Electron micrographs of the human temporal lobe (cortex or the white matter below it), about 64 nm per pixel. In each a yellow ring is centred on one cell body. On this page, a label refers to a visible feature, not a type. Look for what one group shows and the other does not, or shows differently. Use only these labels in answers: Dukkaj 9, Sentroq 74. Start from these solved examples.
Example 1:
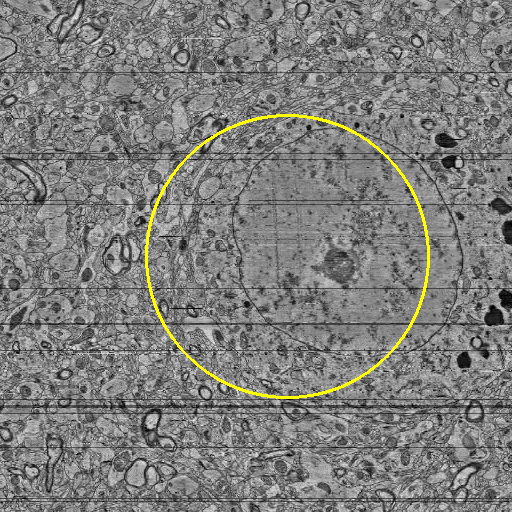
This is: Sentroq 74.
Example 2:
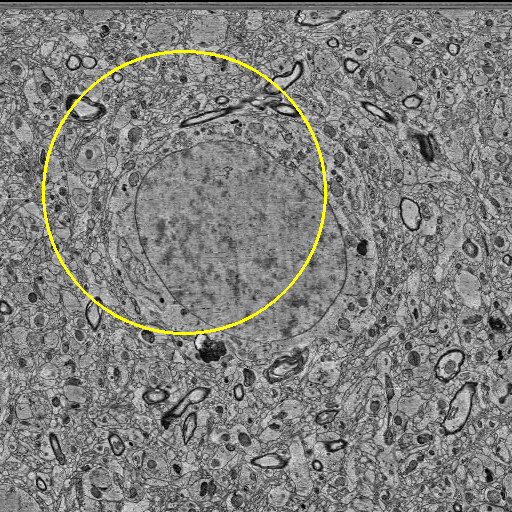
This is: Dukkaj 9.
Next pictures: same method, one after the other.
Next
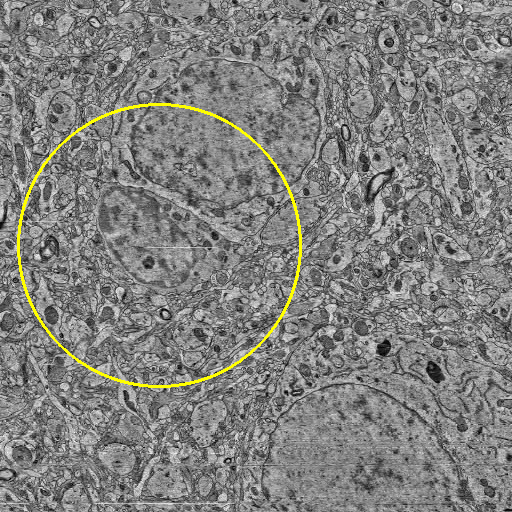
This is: Sentroq 74.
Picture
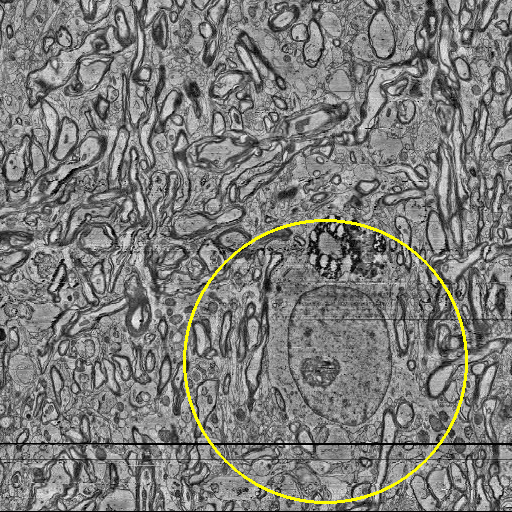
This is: Sentroq 74.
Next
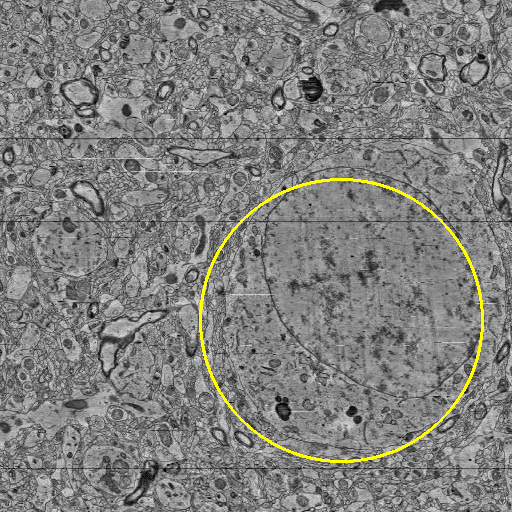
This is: Dukkaj 9.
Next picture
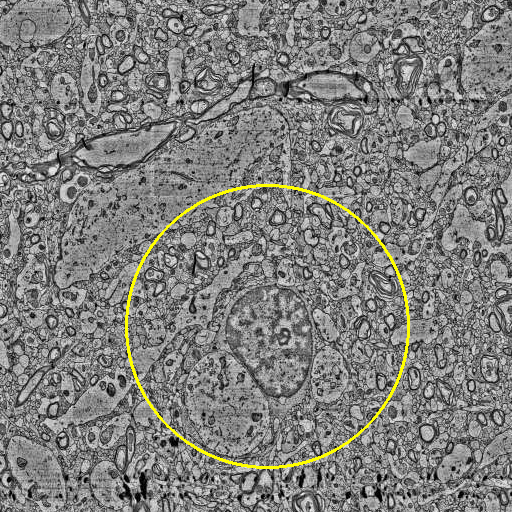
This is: Sentroq 74.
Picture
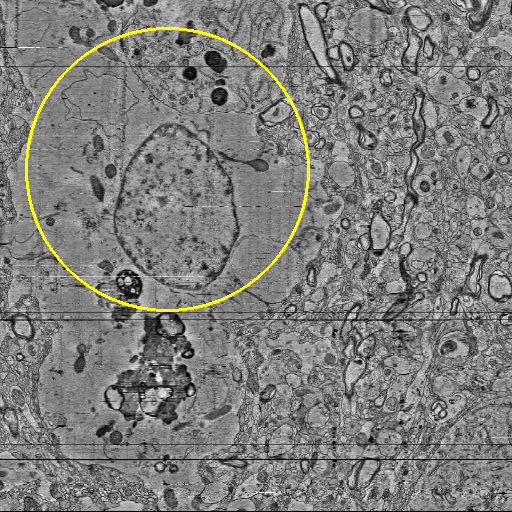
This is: Dukkaj 9.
